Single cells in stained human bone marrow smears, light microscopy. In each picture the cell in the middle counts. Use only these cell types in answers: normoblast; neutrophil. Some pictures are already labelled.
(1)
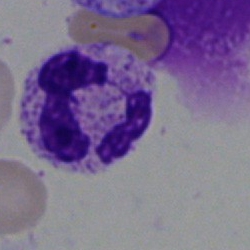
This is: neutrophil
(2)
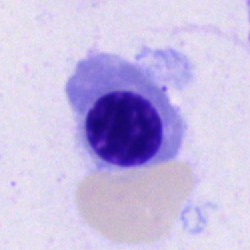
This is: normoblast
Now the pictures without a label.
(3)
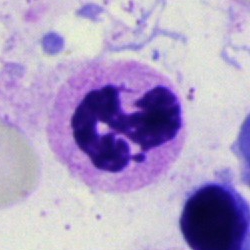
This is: neutrophil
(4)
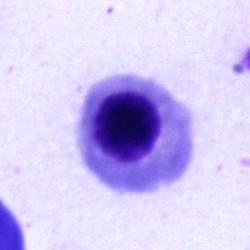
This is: normoblast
